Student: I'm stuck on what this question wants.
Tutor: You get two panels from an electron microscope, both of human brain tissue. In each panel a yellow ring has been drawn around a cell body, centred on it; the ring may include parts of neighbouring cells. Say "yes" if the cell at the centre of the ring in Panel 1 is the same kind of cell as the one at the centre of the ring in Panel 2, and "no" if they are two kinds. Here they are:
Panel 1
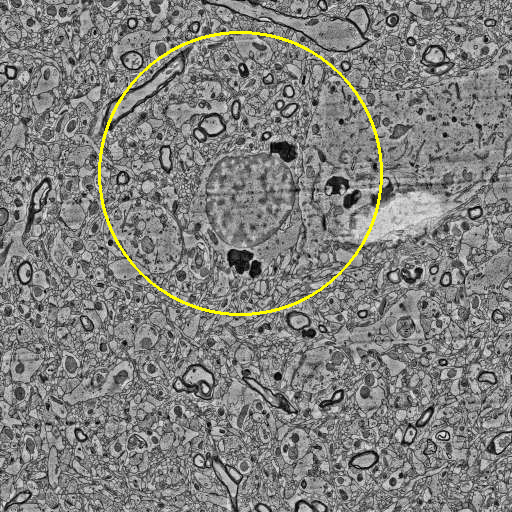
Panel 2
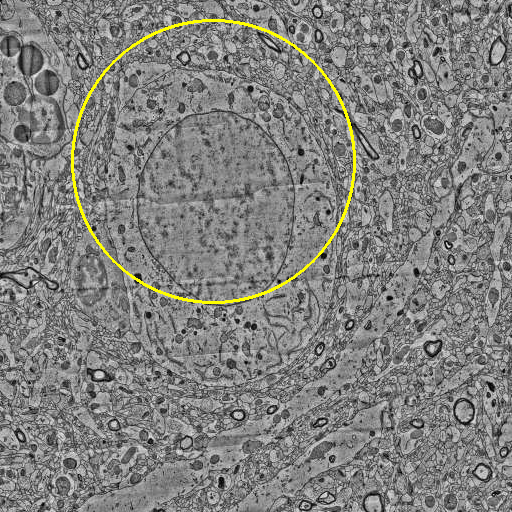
no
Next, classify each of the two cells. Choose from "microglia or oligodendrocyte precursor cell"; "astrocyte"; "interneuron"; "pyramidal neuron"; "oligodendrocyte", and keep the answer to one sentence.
In the first picture it is an oligodendrocyte; in the second it is a pyramidal neuron.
